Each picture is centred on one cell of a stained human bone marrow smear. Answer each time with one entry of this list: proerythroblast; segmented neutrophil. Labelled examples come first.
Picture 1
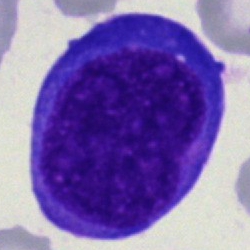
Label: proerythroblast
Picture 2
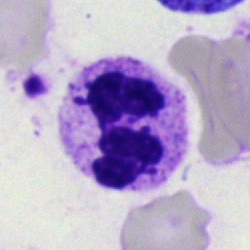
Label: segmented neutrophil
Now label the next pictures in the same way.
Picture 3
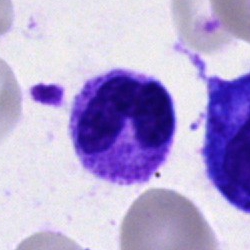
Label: segmented neutrophil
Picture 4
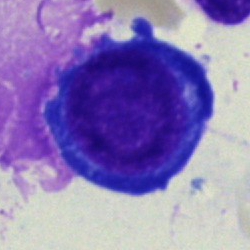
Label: proerythroblast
